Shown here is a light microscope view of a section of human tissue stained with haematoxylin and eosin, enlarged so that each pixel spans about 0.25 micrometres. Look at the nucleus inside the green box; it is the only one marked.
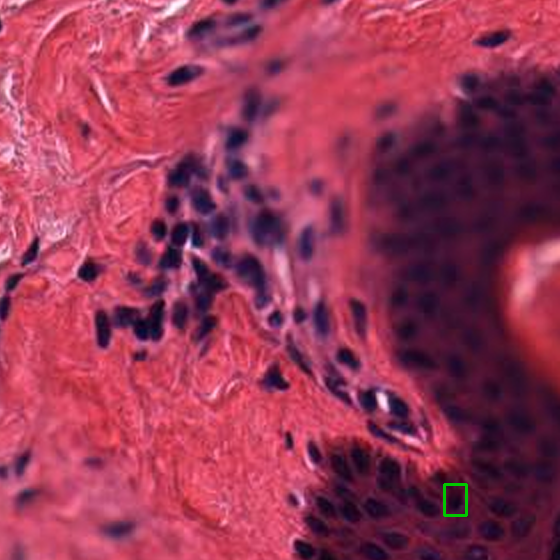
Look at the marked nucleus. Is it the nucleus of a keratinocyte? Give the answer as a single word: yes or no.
yes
